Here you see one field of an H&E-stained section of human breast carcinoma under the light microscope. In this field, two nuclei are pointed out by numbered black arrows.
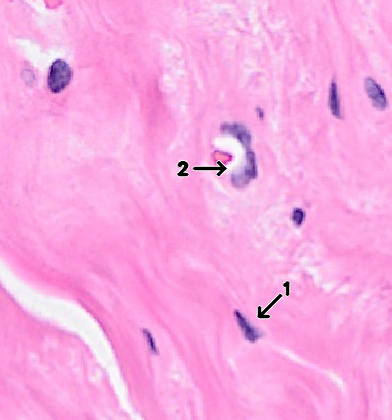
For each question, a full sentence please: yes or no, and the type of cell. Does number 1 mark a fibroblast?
Yes, the cell that number 1 points to is a fibroblast.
